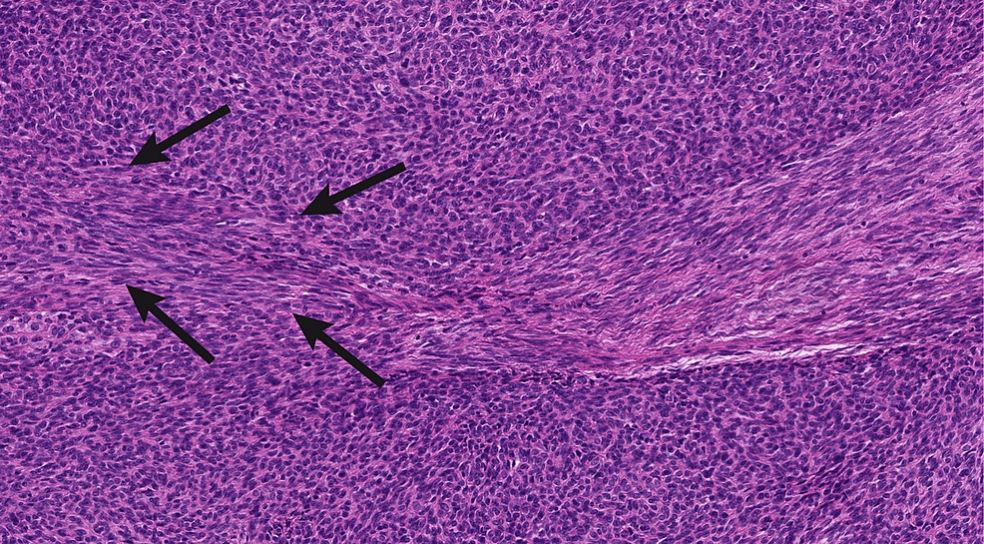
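Above and below, closely packed cells with oval to short spindle, dark purple nuclei and scant cytoplasm form solid sheets. A band of more eosinophilic, pink tissue runs diagonally across the middle toward the right. Within it, elongated spindle-shaped cells with slender nuclei lie in parallel, streaming fascicles, and at its edges they blend gradually into the denser sheets.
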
